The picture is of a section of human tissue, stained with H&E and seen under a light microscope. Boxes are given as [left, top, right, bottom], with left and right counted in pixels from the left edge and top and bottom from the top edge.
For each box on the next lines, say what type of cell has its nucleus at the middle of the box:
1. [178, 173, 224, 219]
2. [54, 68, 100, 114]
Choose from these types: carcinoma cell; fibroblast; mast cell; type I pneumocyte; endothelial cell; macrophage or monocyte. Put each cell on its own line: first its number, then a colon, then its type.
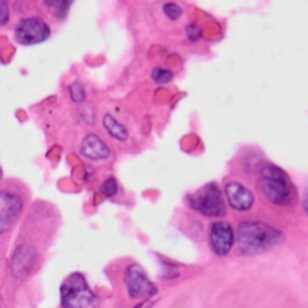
1: carcinoma cell
2: macrophage or monocyte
